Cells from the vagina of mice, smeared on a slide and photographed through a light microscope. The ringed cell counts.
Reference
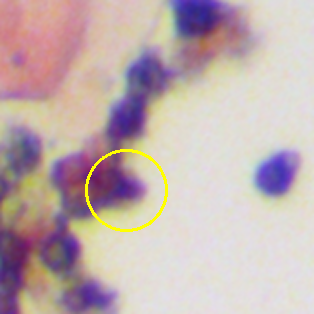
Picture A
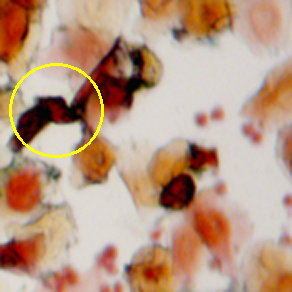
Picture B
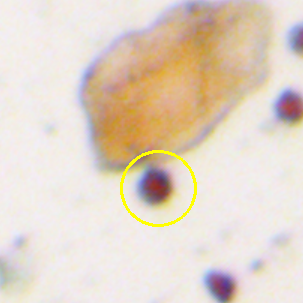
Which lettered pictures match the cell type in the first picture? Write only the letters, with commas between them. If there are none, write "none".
B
